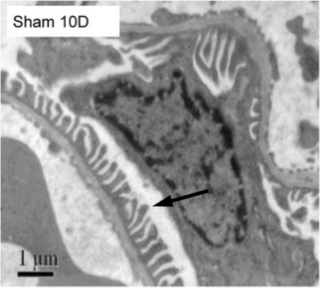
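This is a glomerular capillary wall with a podocyte. The podocyte cell body contains a large, irregular, densely staining nucleus, and from it a row of slender foot processes extends onto the thin, dense basement membrane. The foot processes are evenly spaced and interdigitate, with narrow clear gaps between them, forming a neat comb-like pattern along the membrane. On the other side of the membrane lies the capillary lumen, where part of a smooth, uniformly grey red blood cell is visible. The arrow marks the regularly arranged foot processes.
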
